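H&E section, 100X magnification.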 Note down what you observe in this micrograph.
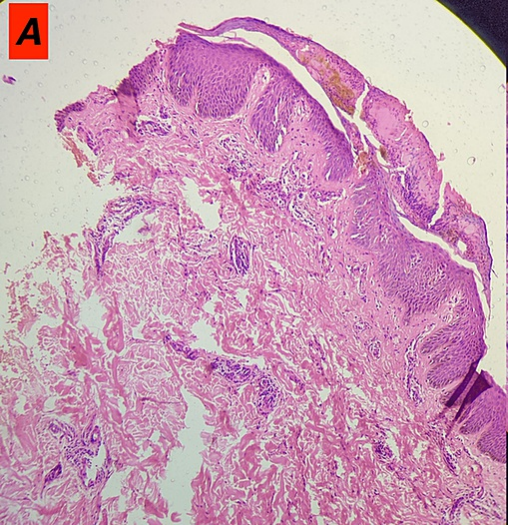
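Low-power view of skin with a markedly thickened epidermis and underlying dermis. The epidermis is a purple stratified squamous layer forming elongated, fairly regular rete ridges that dip into the dermis, while the layer over the intervening dermal papillae is thin. A pink cornified layer sits on top, partly lifted away by a clear cleft, with patches of brown material. The dermis below is pale pink, loosely arranged collagen with scattered small vessels and small clusters of dark nuclei around them.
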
